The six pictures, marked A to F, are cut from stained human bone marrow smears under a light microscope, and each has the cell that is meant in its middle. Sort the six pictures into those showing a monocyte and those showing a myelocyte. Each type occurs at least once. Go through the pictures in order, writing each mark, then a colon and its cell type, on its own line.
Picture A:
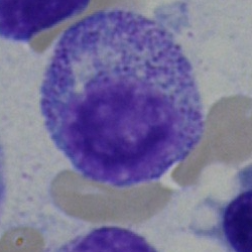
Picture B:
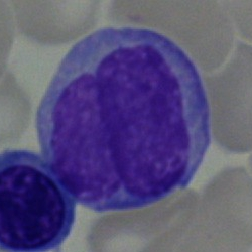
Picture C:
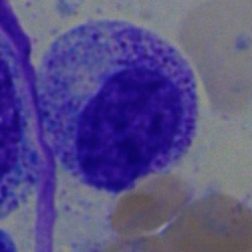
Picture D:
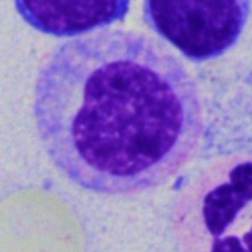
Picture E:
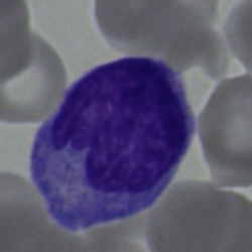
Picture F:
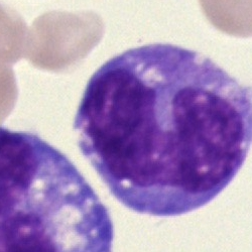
A: myelocyte
B: monocyte
C: myelocyte
D: myelocyte
E: monocyte
F: monocyte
